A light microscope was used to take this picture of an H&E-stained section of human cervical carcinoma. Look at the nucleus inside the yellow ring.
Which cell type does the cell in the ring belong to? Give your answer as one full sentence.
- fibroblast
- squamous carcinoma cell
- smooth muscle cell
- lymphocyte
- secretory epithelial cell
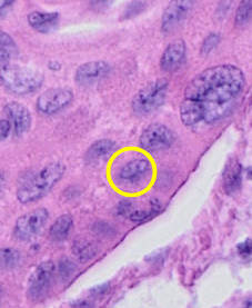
As classified here, the cell in the ring is a squamous carcinoma cell.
